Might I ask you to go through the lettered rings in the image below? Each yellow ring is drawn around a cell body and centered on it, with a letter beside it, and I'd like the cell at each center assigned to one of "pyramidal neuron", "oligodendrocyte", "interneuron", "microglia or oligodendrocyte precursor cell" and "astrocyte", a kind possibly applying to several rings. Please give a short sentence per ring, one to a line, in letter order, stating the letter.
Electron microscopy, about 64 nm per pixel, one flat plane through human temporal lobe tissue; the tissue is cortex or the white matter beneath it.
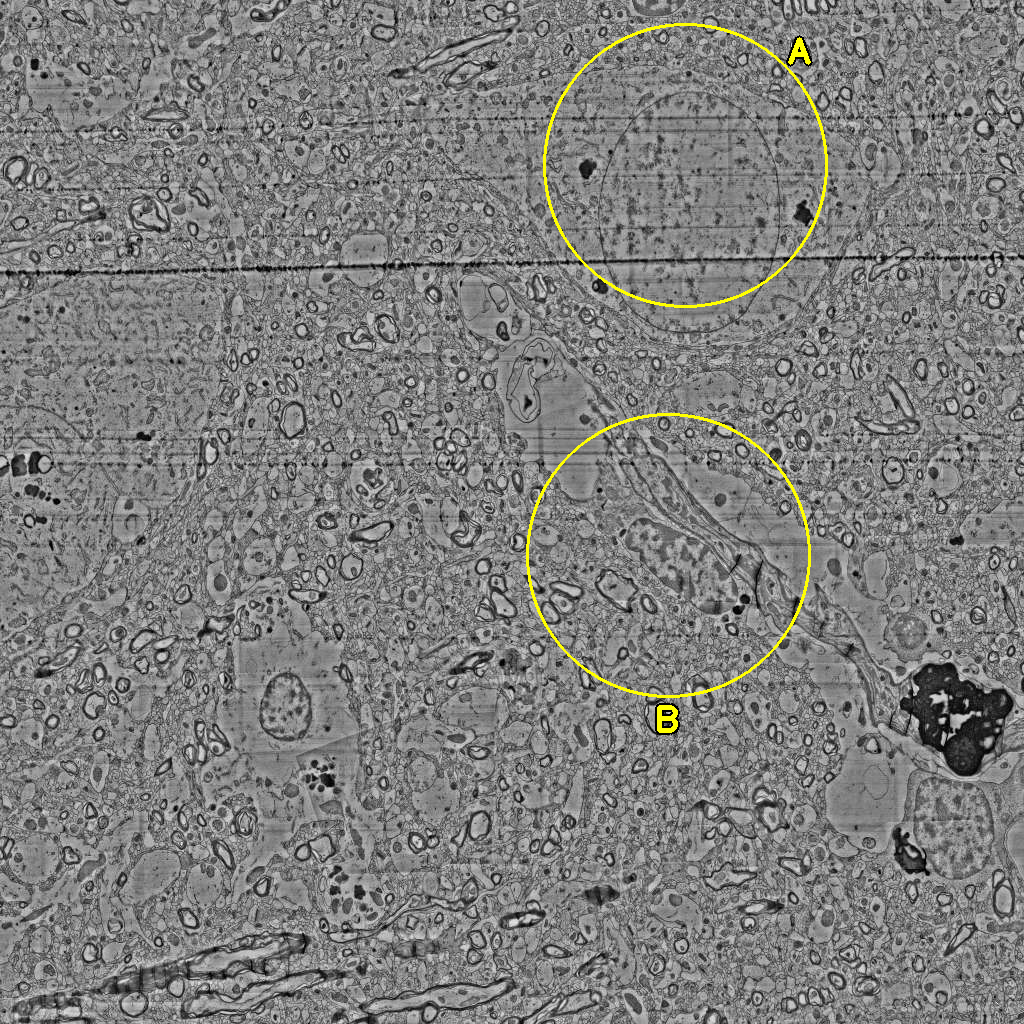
Ring A is centered on the body of a pyramidal neuron.
Ring B is centered on the body of a microglial cell or oligodendrocyte precursor cell.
